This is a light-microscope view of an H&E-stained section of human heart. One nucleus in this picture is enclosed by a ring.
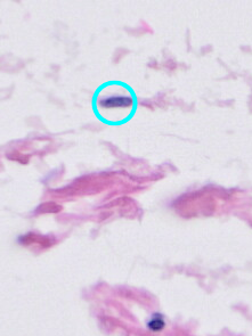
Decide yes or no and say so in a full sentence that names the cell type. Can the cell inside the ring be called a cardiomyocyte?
No, the cell inside the ring is not a cardiomyocyte but a fibroblast.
